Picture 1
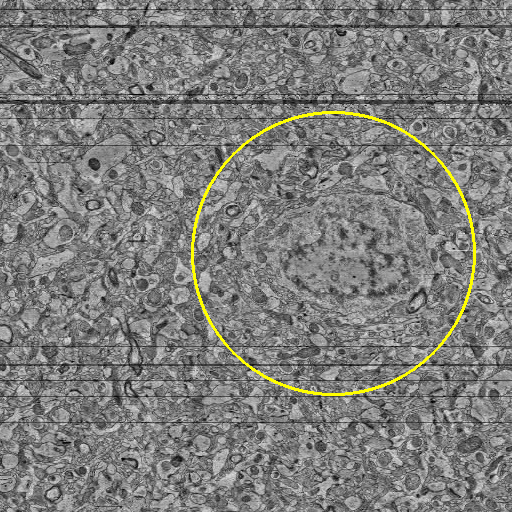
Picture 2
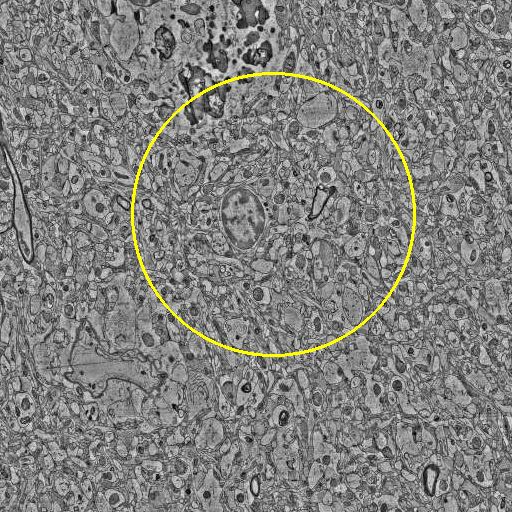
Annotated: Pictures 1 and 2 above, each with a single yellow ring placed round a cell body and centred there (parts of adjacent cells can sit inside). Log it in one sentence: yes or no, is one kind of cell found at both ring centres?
No, the ring centres of the two pictures hold cells of two kinds.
